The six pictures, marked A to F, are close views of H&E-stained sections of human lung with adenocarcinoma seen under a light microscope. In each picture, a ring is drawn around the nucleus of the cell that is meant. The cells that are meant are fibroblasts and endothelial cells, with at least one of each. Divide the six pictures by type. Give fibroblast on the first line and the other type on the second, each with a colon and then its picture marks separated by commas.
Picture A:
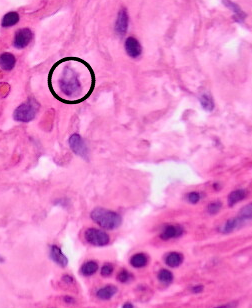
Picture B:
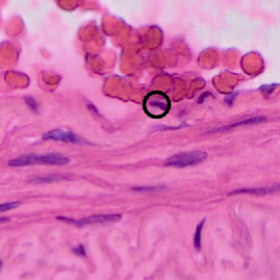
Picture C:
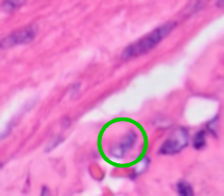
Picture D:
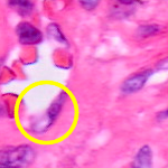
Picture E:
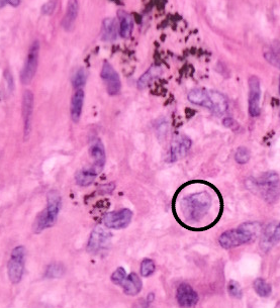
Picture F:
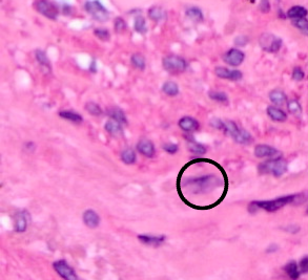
fibroblast: A, E, F
endothelial cell: B, C, D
